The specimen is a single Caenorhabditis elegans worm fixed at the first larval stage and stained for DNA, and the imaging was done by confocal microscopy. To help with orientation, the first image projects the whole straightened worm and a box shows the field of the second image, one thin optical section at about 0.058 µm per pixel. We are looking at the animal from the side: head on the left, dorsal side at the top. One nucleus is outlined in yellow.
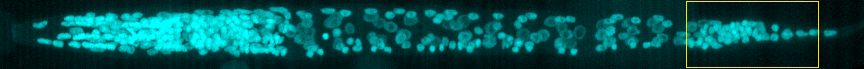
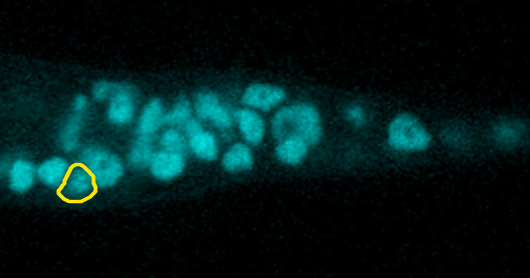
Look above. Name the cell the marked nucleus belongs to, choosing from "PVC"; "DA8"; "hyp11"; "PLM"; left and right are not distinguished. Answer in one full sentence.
The cell whose nucleus is marked is DA8, a neuron.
